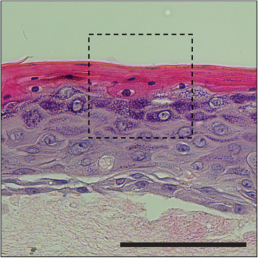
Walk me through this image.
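This is a stratified epidermis in cross section, with a thick bright pink cornified layer on top of purple, granular keratinocytes. Dark, flattened nuclei can still be seen inside the pink cornified layer, where normally none remain. Beneath, the living cell layers show round nuclei, some with clear spaces around them, and the base lies over a pale loose underlying layer.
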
